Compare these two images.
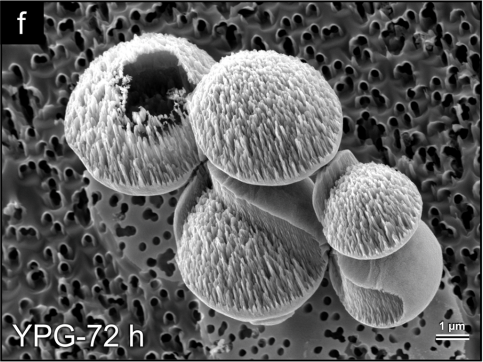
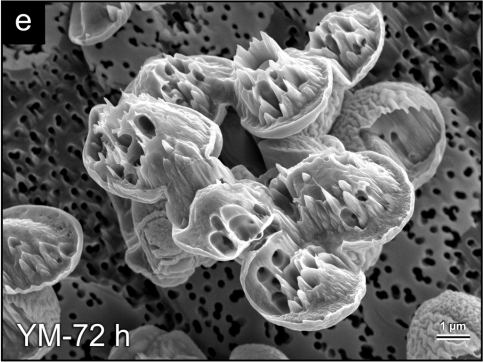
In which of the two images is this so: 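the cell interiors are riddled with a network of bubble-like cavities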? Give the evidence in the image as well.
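First image: etched cells show a uniform fine bristly texture, with only one cell holding a single large hole. Second image: etched cells are filled with many rounded cavities separated by thin walls and spikes.
Hence: the second image.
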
